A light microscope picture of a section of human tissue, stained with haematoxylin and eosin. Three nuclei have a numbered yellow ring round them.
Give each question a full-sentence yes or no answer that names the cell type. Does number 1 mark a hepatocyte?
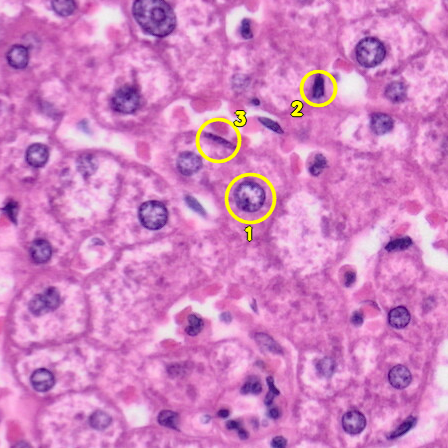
Yes, the cell with the mark numbered 1 is a hepatocyte.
